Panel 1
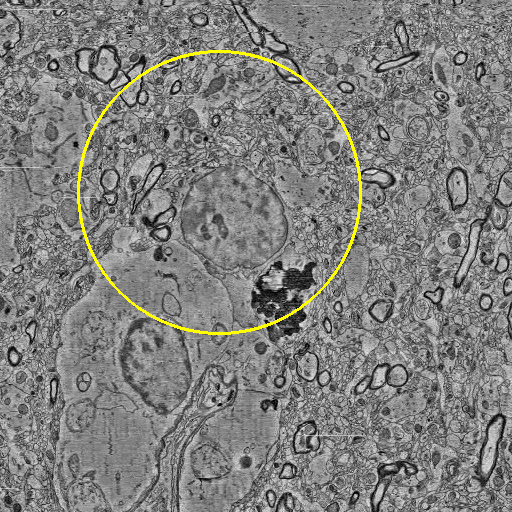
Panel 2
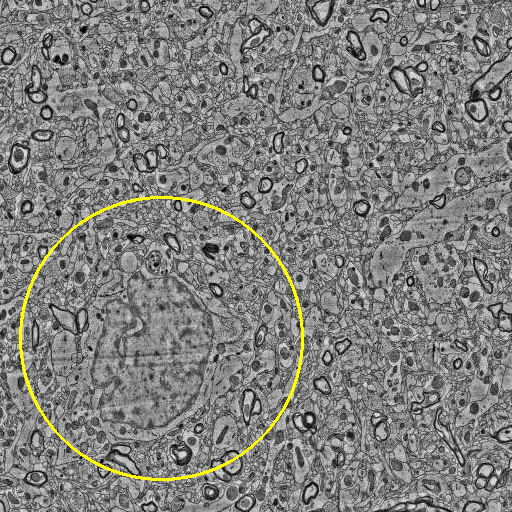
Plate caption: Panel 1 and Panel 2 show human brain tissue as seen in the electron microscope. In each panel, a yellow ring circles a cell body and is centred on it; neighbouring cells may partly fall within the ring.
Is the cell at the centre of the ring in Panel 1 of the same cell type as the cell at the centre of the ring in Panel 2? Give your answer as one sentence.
No, the two cells are of two types.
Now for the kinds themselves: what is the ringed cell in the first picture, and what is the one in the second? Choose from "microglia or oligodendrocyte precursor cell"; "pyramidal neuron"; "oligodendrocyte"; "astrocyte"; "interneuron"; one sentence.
Here the first cell is an oligodendrocyte and the second cell is an interneuron.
